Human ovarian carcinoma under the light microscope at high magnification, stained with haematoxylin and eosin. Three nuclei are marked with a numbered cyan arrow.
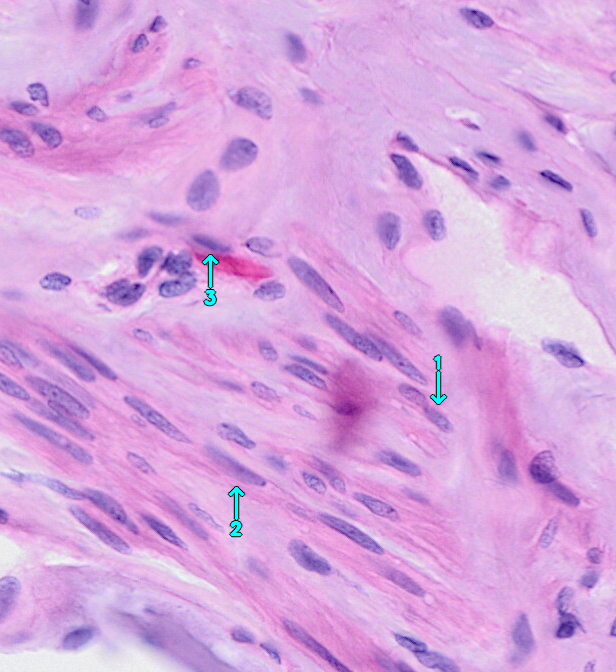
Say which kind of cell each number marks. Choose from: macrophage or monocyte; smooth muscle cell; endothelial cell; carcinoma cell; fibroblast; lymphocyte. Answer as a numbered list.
1. smooth muscle cell
2. smooth muscle cell
3. endothelial cell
